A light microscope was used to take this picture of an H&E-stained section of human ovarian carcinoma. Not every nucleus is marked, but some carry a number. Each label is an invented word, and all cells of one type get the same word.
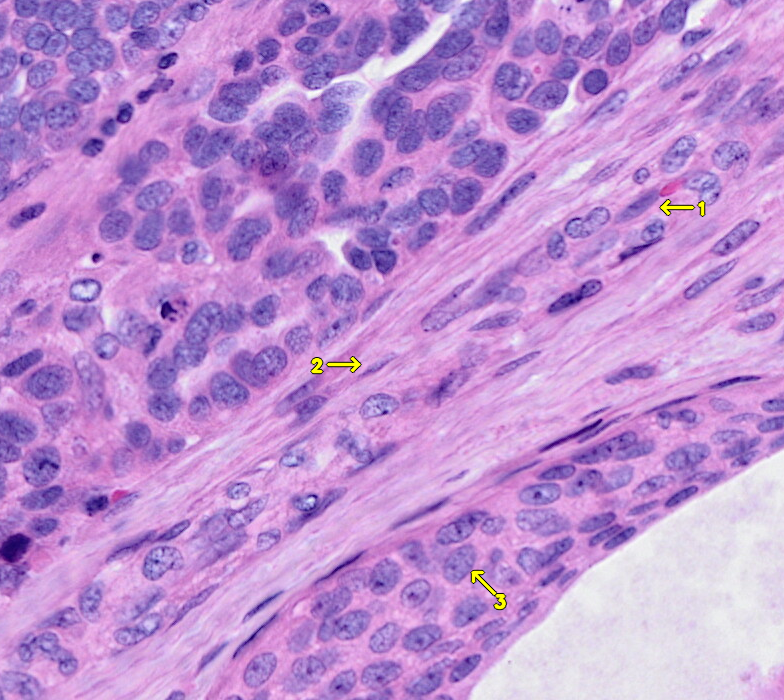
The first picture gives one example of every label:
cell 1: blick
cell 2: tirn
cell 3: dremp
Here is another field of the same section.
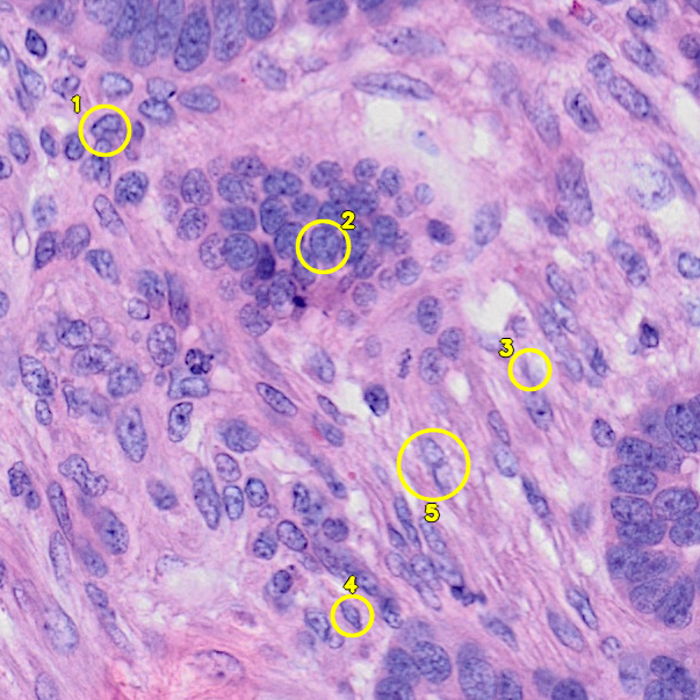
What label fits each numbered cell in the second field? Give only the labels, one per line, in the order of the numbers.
blick
dremp
tirn
tirn
tirn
